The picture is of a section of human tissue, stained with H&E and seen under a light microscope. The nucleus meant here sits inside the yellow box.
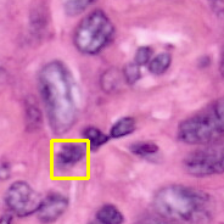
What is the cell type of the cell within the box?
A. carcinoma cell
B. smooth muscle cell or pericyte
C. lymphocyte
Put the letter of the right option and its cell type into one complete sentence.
Option C is right in classifying the cell within the box as a lymphocyte.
